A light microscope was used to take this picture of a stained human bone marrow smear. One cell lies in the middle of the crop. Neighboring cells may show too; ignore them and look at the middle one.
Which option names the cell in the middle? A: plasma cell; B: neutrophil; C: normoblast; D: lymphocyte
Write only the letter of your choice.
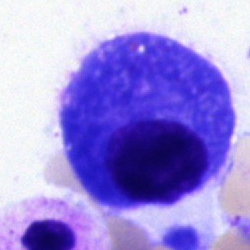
A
